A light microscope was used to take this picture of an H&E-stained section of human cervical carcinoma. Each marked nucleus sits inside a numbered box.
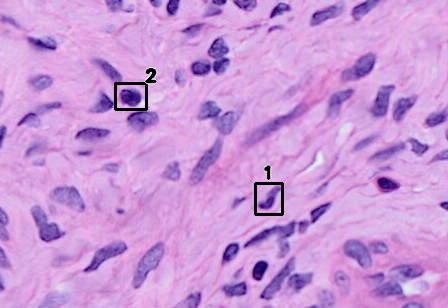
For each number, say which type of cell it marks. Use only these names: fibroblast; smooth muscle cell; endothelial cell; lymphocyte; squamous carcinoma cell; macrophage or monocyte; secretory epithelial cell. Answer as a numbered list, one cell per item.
1. fibroblast
2. lymphocyte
